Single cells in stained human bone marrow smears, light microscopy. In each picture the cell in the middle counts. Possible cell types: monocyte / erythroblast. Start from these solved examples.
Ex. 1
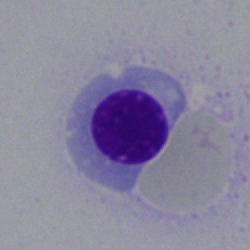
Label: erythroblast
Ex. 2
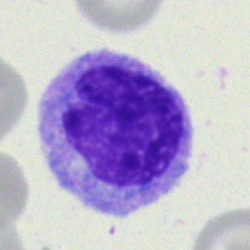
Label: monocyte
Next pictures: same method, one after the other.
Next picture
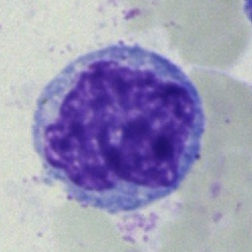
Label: monocyte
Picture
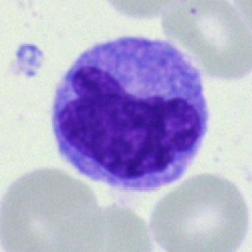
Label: monocyte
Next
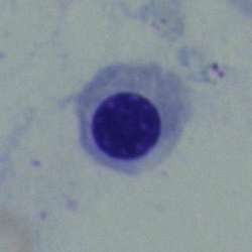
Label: erythroblast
